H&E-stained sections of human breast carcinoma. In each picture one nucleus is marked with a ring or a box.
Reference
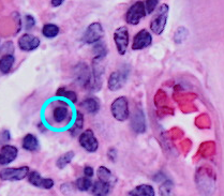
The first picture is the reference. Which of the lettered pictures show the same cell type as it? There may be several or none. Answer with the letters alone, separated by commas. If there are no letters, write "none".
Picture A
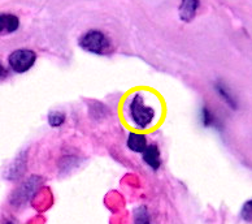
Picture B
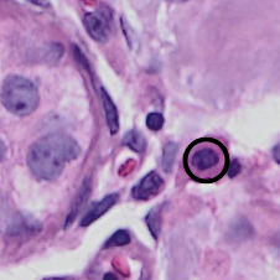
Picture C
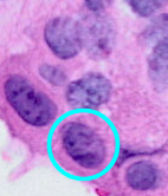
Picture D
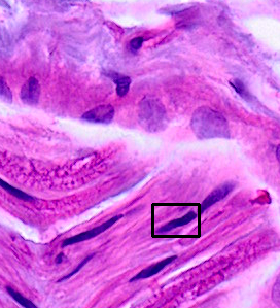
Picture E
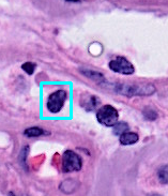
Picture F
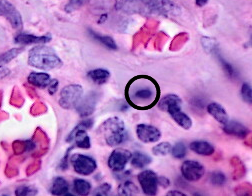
A, E, F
